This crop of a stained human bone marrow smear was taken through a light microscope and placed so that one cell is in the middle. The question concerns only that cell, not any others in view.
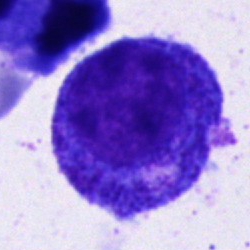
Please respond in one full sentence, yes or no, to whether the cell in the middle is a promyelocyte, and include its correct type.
Yes, the cell at the midpoint of the crop is a promyelocyte.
